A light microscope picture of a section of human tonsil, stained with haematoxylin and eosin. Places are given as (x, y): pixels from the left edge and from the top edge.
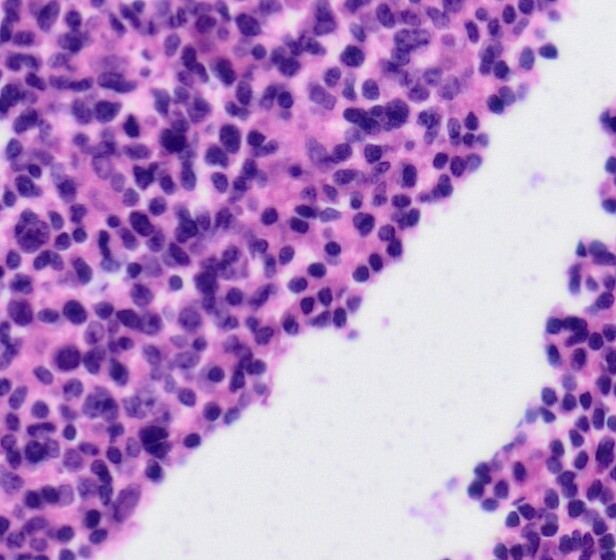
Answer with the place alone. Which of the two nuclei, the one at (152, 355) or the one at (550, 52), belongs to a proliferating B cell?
(152, 355)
